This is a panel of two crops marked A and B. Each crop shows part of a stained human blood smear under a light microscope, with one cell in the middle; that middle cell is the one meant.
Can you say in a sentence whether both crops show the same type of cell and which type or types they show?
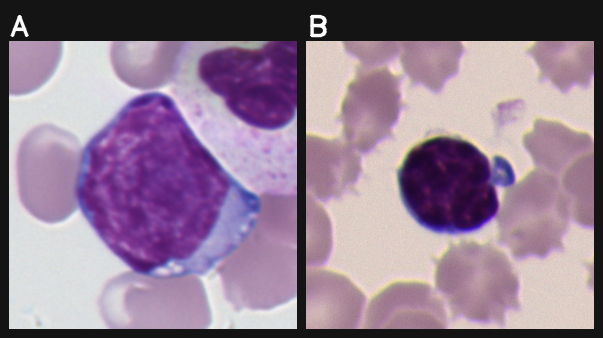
No, a myeloblast occupies the middle of crop A, and a typical lymphocyte the middle of crop B.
